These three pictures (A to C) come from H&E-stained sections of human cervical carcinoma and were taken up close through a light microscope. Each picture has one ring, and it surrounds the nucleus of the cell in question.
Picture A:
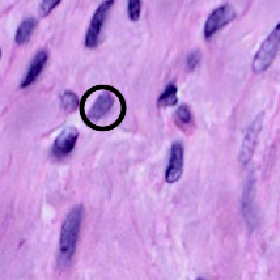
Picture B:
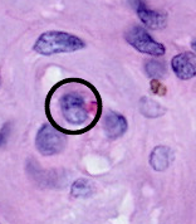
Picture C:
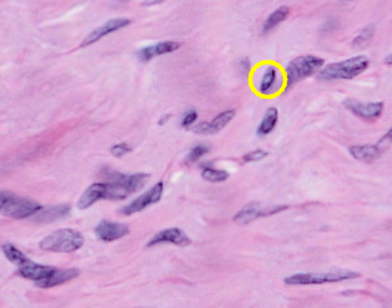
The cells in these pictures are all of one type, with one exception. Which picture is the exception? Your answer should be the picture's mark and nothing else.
B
